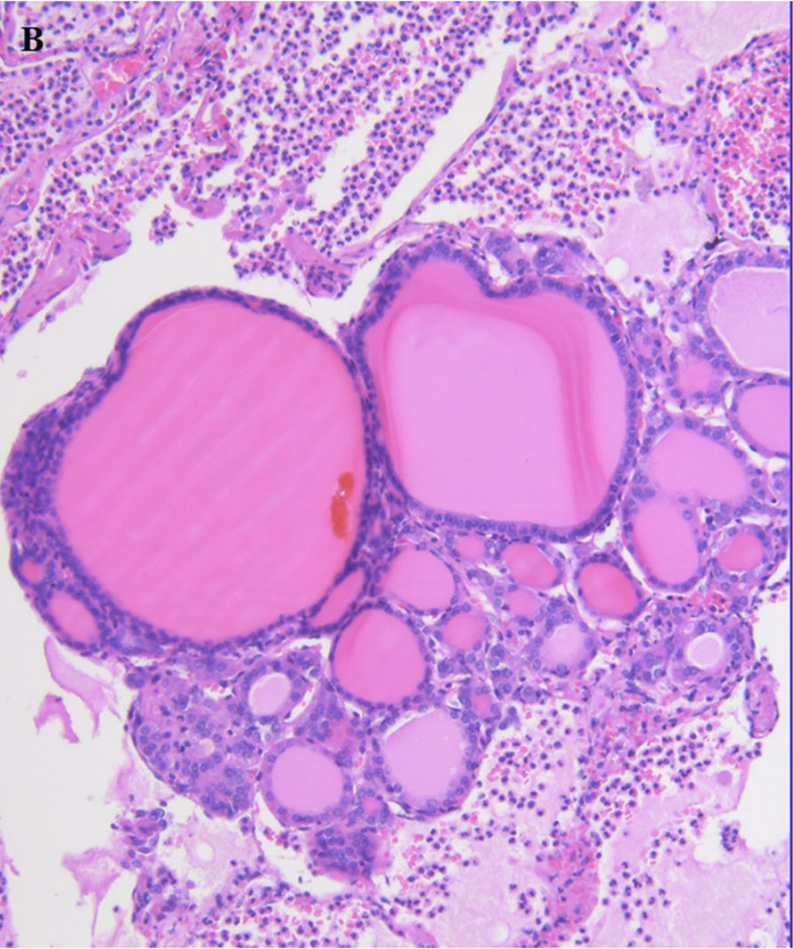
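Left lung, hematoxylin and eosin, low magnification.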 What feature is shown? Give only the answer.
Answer: Follicles of various sizes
